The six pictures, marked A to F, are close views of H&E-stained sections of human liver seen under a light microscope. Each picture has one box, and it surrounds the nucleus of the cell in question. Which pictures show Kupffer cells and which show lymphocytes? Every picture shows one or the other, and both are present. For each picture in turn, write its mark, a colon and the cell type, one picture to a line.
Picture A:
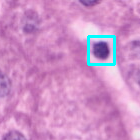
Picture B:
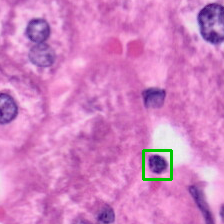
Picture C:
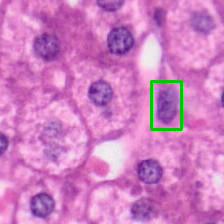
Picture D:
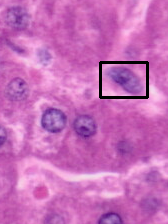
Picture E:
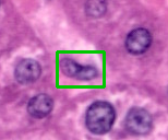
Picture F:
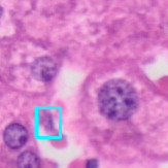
A: lymphocyte
B: lymphocyte
C: Kupffer cell
D: Kupffer cell
E: Kupffer cell
F: Kupffer cell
